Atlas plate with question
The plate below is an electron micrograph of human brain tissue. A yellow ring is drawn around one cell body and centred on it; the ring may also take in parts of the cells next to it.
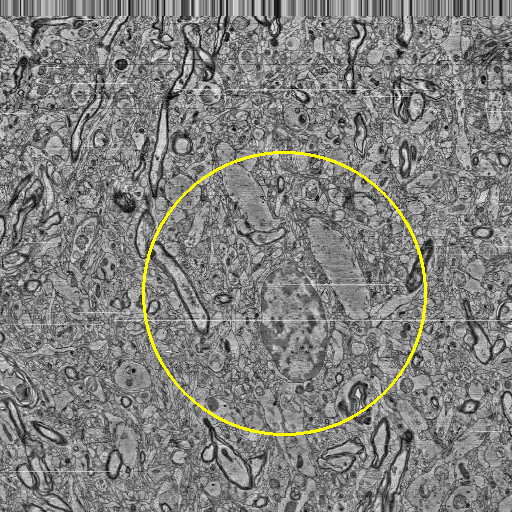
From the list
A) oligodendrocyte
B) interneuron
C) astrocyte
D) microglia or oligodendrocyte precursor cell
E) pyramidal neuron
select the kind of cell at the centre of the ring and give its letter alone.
D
